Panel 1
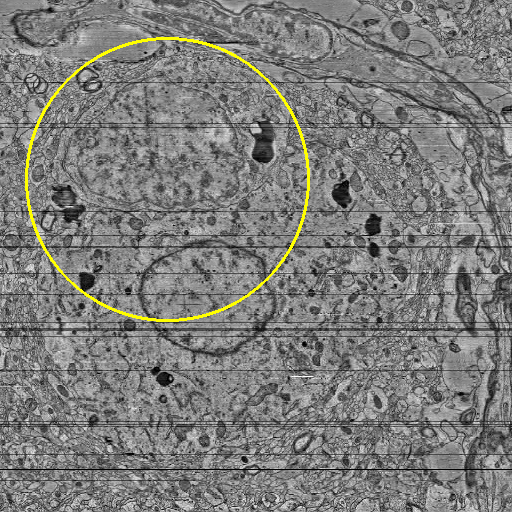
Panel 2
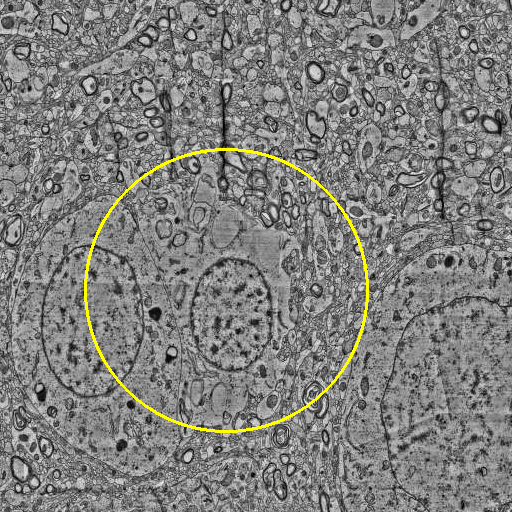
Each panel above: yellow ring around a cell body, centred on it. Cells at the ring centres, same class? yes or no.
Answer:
no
